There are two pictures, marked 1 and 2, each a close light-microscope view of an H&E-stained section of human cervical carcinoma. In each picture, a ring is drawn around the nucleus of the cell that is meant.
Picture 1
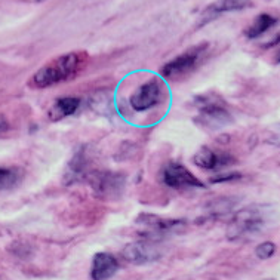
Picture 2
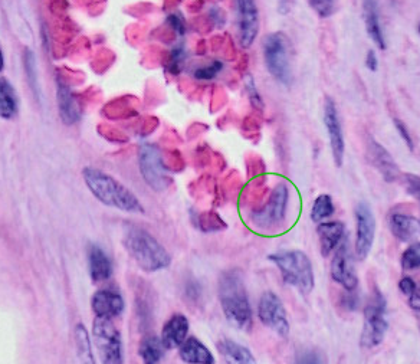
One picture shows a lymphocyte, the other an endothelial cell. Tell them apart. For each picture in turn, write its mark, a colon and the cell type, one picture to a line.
1: lymphocyte
2: endothelial cell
